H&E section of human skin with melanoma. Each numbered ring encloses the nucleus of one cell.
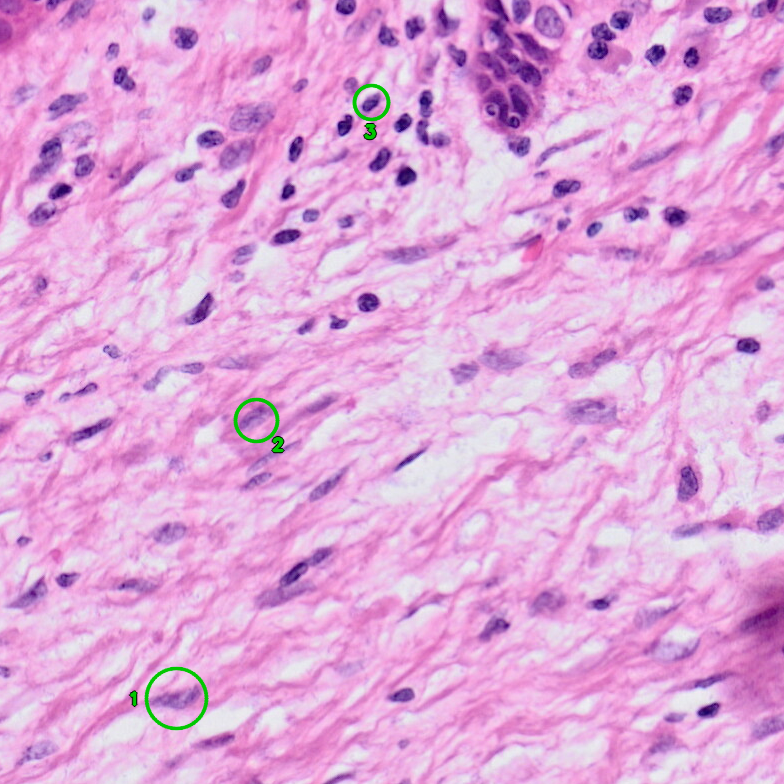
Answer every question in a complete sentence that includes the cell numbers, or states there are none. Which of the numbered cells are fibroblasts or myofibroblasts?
Each of the cells numbered 1 and 2 is among the fibroblasts or myofibroblasts.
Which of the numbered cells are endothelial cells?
Nowhere among the numbered cells do endothelial cells occur.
